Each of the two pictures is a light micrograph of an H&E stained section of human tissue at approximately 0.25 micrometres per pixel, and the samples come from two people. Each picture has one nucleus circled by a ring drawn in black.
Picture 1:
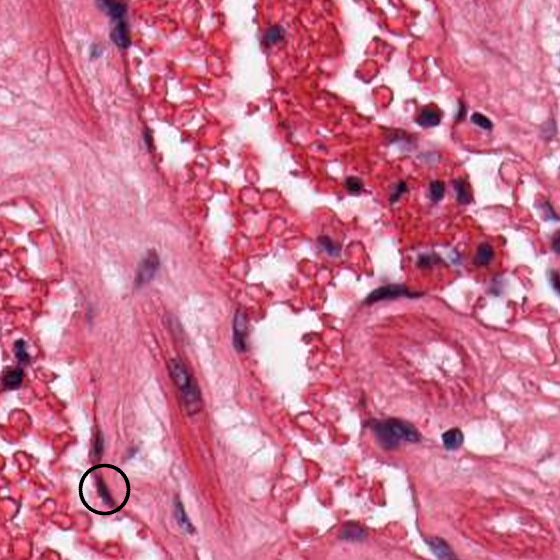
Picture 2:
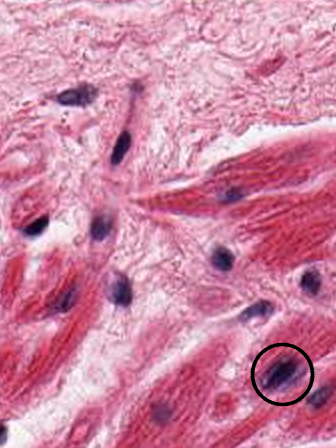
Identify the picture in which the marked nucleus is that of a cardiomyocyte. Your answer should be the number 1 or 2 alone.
2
